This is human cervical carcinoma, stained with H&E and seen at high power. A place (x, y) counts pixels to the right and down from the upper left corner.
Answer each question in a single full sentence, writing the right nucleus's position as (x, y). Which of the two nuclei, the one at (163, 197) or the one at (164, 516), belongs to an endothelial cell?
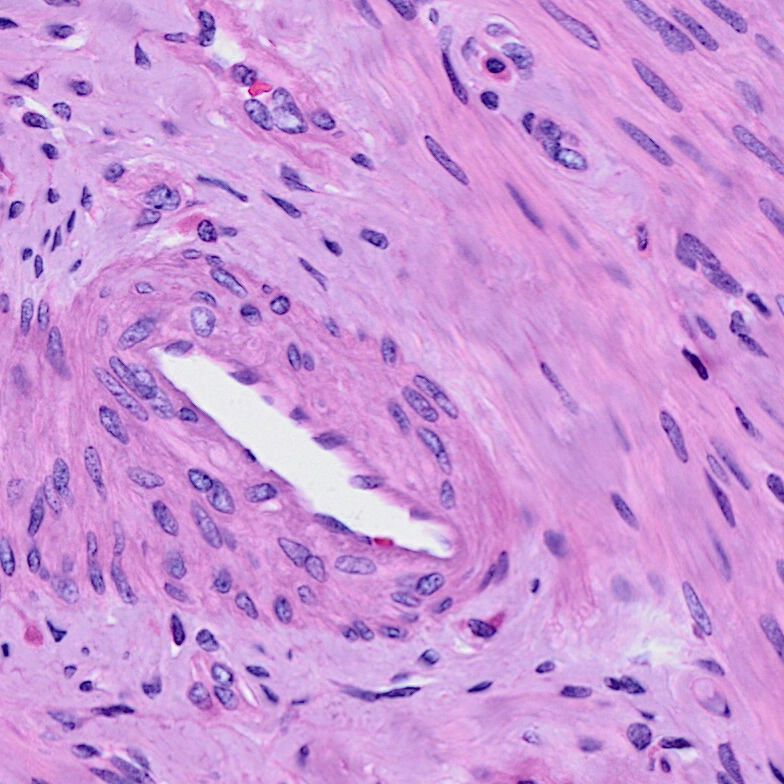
Of the two options, the nucleus at (163, 197) is the one that belongs to an endothelial cell.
